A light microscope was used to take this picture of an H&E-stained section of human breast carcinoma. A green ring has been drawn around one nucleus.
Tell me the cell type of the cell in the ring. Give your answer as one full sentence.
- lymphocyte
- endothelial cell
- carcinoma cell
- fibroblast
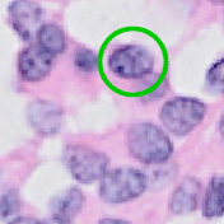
Cell type answer for this item: the cell in the ring is a carcinoma cell.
